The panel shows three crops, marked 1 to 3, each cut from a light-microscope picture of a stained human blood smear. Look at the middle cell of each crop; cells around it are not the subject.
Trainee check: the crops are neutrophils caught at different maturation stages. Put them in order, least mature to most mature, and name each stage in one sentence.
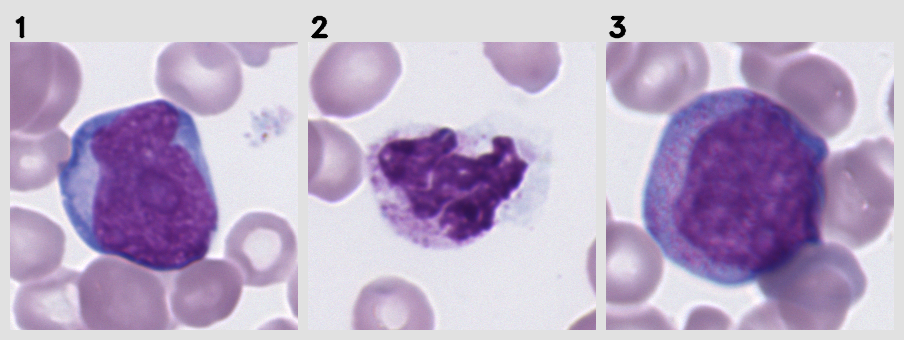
The ordering by maturity, from earliest to most mature, is crop 1 (a myeloblast), crop 3 (a promyelocyte) and crop 2 (a segmented neutrophil).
